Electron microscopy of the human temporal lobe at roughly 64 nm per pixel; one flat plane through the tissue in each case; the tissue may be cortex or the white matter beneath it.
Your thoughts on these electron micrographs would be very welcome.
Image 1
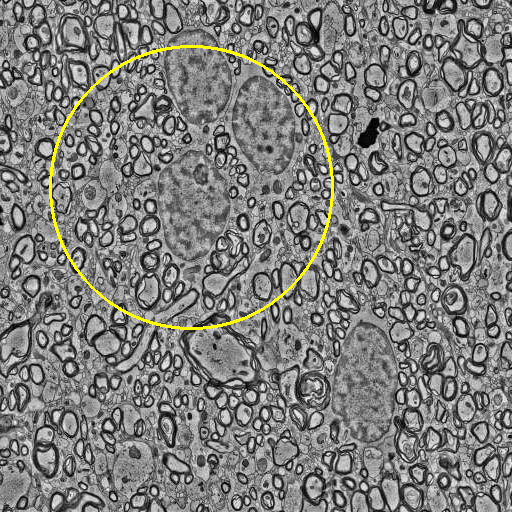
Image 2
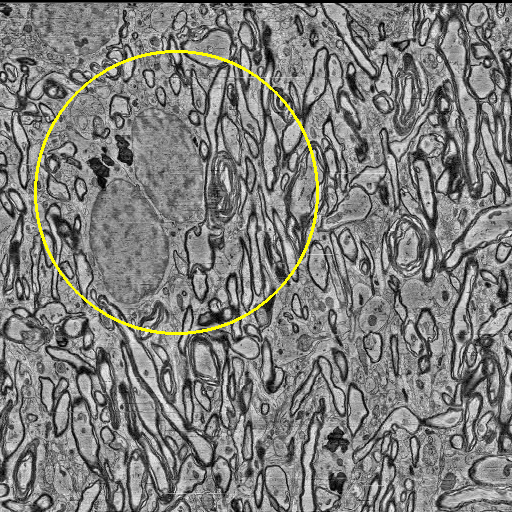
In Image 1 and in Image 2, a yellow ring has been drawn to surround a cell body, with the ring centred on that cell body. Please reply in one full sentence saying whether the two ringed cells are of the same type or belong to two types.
The ringed cells in Image 1 and Image 2 are of the same type.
